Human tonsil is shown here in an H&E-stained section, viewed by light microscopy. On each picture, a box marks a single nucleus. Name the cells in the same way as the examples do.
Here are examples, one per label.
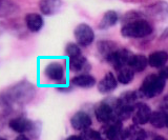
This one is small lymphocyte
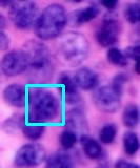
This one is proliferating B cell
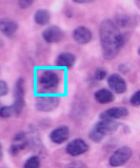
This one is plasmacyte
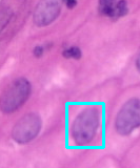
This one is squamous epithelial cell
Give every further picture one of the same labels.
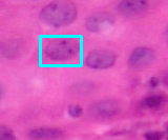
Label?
squamous epithelial cell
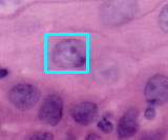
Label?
squamous epithelial cell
